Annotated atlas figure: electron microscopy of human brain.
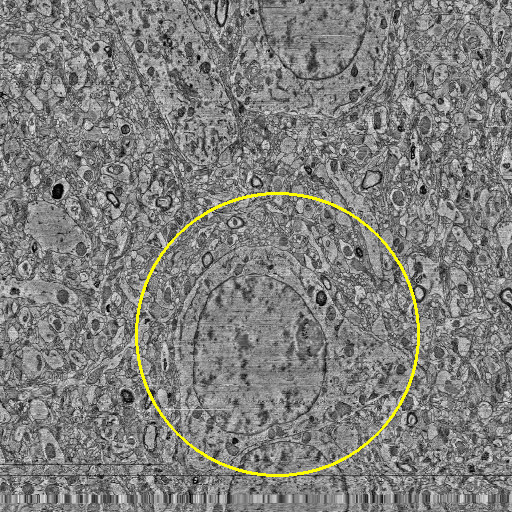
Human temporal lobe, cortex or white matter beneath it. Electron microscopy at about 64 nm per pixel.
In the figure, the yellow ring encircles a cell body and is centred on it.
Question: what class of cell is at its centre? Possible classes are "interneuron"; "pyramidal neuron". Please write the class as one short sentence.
The yellow ring is drawn around a pyramidal neuron.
